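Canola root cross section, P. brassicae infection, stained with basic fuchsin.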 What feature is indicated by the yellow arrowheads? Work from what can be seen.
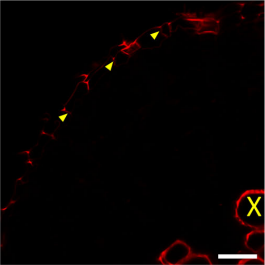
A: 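The arrowheads sit along a thin red-stained line of walls at the outer edge of the section. On this evidence: anticlinal cell walls of exodermis.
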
